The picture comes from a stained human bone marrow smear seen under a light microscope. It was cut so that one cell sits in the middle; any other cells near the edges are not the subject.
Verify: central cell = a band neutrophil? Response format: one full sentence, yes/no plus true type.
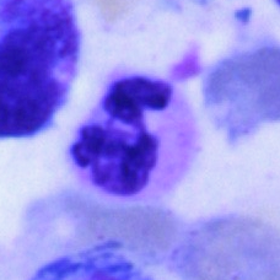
No, the central cell is a segmented neutrophil, not a band neutrophil.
